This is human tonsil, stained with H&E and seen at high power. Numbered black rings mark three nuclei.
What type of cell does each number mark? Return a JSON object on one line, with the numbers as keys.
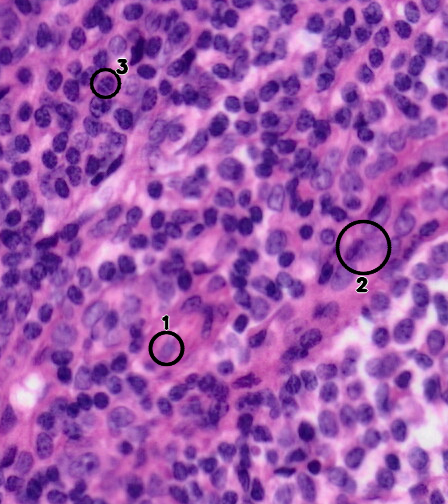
{"1": "endothelial cell", "2": "endothelial cell", "3": "plasma cell"}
